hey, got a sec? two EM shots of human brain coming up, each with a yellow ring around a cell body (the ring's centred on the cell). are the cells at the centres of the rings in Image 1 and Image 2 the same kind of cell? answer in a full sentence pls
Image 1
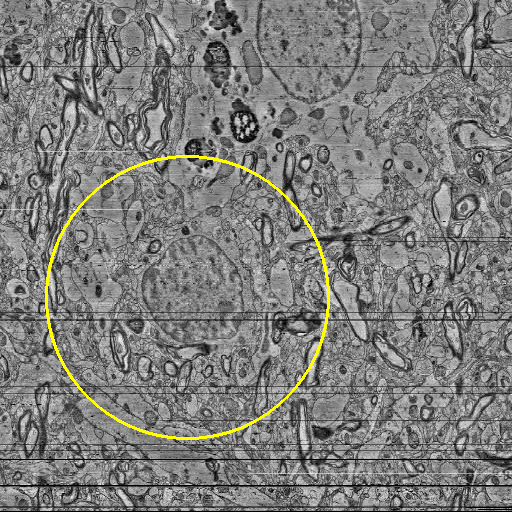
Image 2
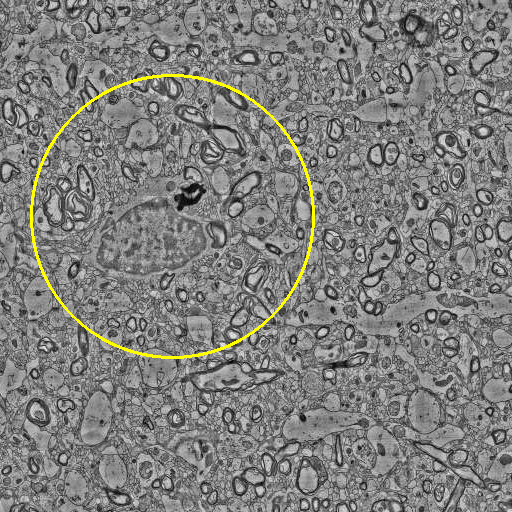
Yes, both are the same kind of cell.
